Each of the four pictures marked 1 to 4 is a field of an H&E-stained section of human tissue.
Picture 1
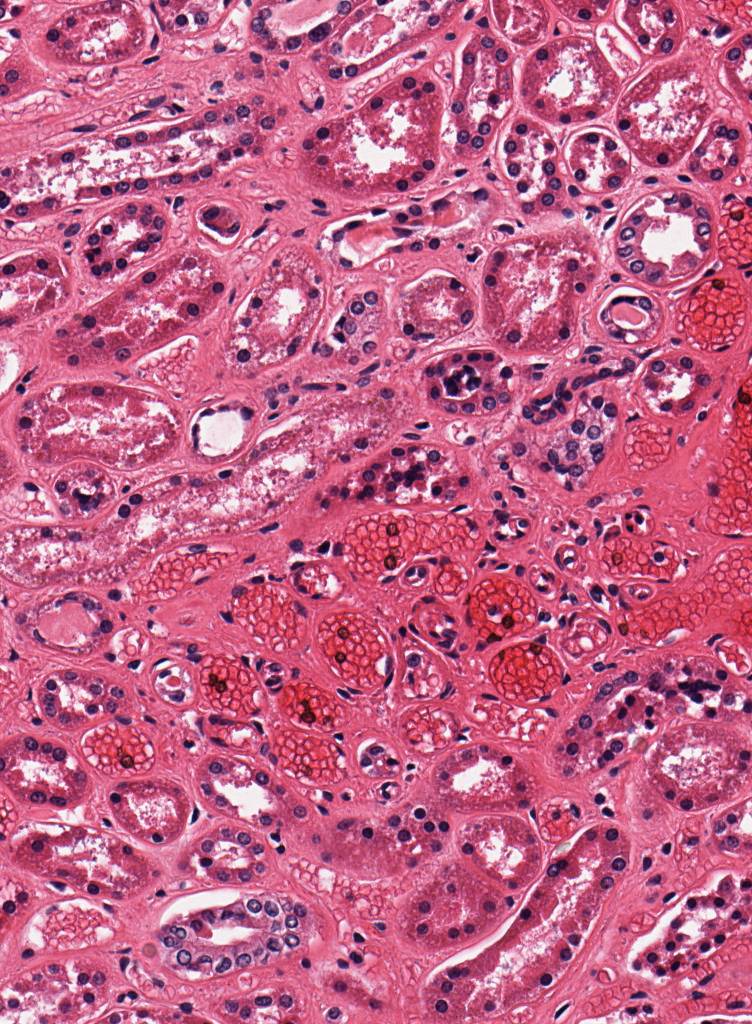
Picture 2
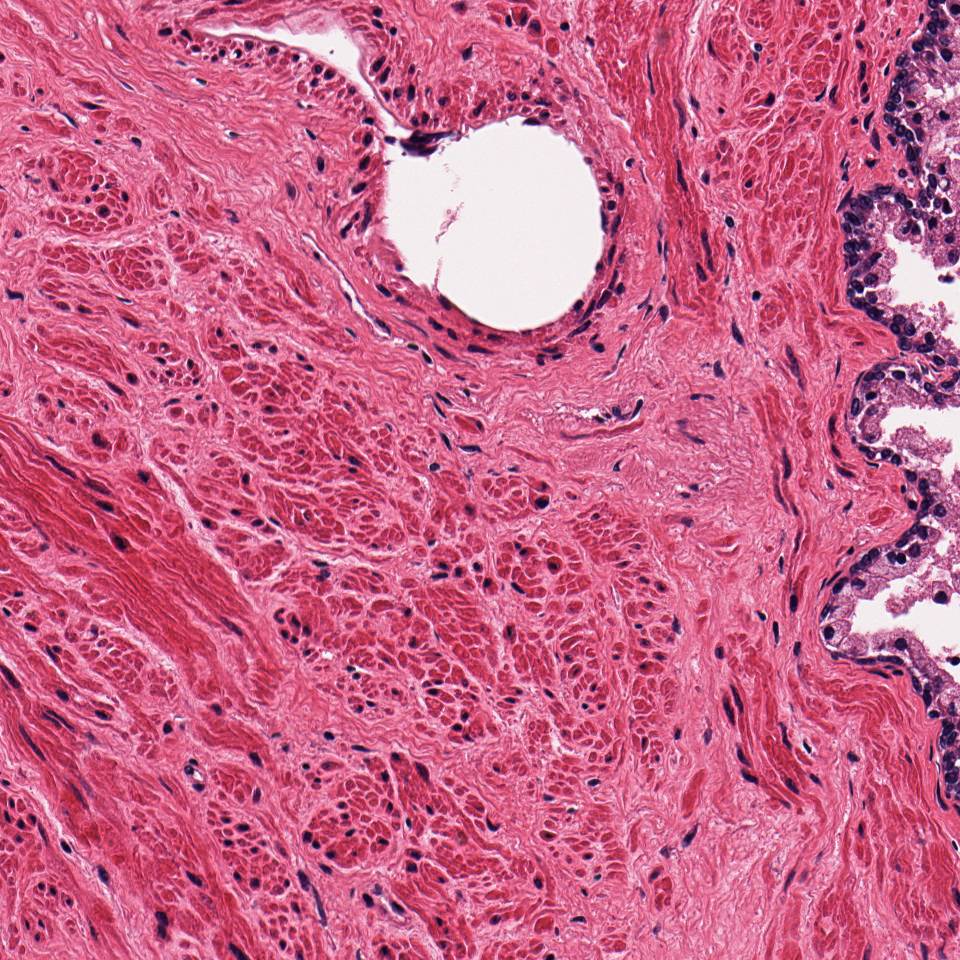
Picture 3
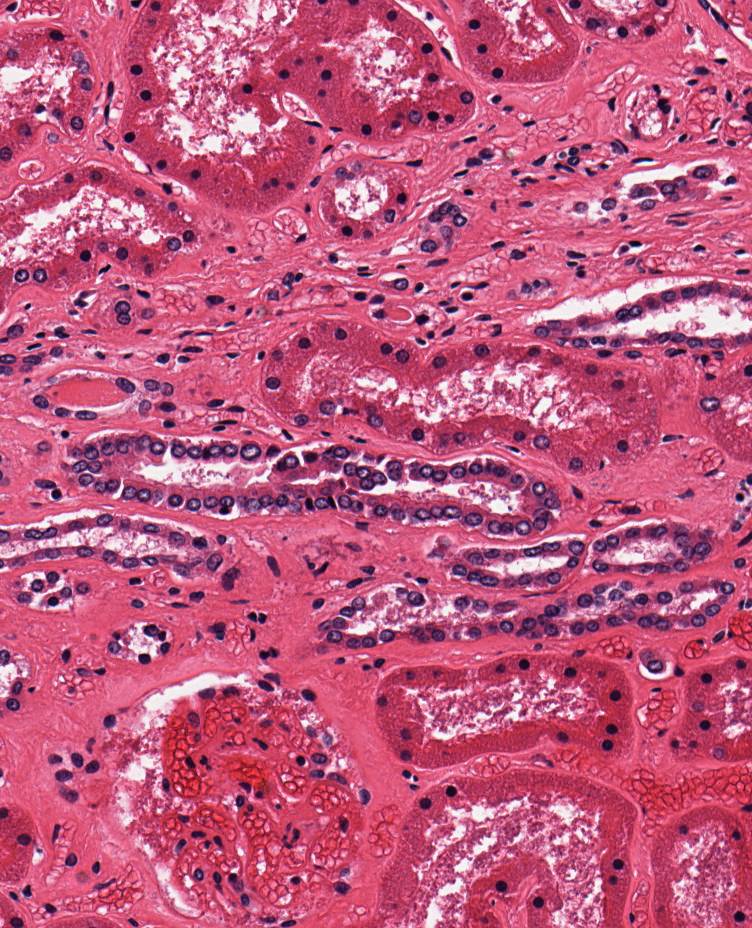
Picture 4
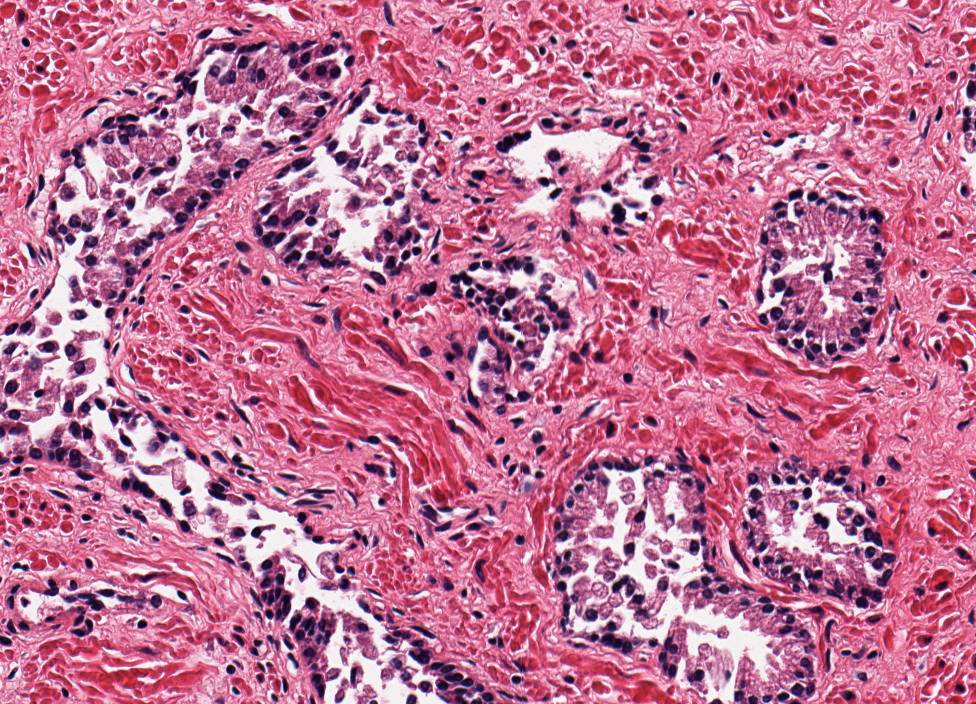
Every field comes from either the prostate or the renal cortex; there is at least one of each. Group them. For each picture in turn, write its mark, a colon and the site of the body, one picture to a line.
1: renal cortex
2: prostate
3: renal cortex
4: prostate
